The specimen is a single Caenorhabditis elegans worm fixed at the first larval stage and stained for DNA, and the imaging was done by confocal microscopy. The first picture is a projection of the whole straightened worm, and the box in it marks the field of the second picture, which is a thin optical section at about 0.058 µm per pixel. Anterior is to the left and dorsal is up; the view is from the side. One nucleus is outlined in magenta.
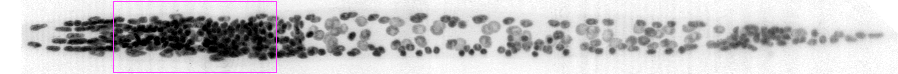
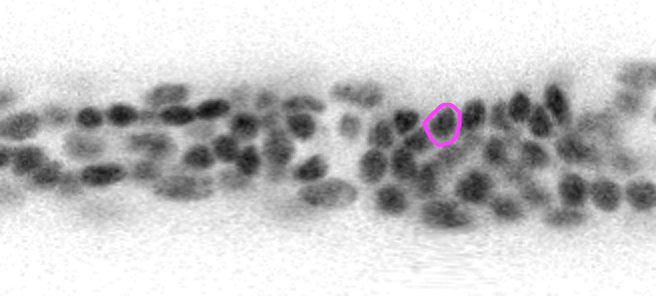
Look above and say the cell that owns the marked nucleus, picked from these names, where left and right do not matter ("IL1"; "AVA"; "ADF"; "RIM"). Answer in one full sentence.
The marked nucleus belongs to ADF, a neuron.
